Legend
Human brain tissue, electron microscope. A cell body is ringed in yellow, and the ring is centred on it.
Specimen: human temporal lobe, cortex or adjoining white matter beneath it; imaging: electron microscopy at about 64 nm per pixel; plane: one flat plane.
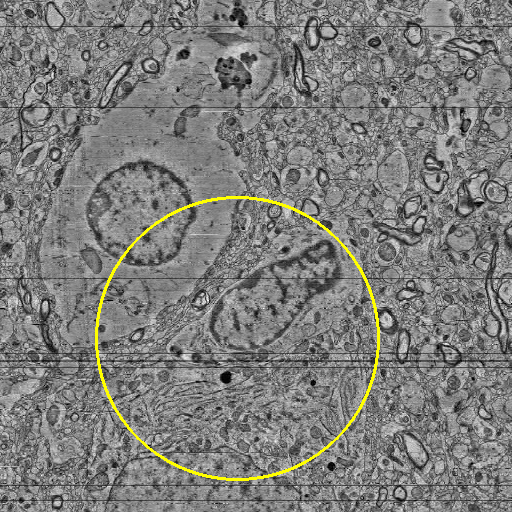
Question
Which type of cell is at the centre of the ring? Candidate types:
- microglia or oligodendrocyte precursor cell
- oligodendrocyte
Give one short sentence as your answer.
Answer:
The yellow ring is centred here on a microglial cell or oligodendrocyte precursor cell.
